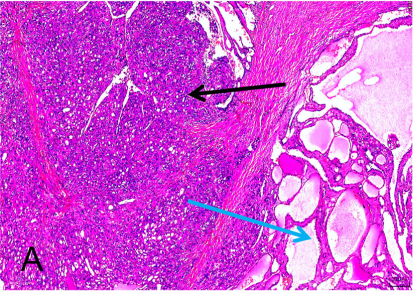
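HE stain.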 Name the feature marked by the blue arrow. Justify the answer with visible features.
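The blue arrow points to rounded spaces filled with pale pink material. The spaces are separated by thin septa. That points to this answer: cystic structures.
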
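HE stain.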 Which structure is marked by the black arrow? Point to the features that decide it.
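Solid structures. The area is separated by a pink fibrous band from spaces filled with pale pink fluid.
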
